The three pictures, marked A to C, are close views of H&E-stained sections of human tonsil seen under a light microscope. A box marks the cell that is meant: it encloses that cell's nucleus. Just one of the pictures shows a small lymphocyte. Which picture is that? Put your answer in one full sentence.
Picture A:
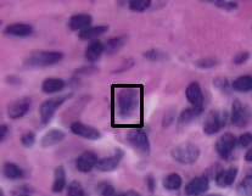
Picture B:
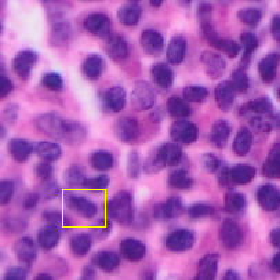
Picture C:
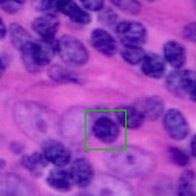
It is picture B that shows the small lymphocyte.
